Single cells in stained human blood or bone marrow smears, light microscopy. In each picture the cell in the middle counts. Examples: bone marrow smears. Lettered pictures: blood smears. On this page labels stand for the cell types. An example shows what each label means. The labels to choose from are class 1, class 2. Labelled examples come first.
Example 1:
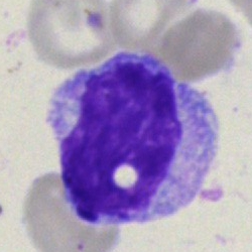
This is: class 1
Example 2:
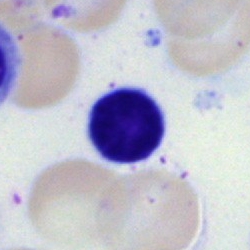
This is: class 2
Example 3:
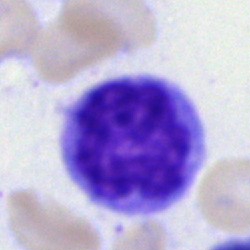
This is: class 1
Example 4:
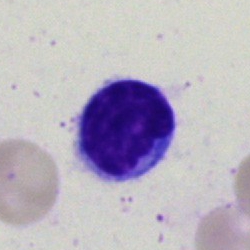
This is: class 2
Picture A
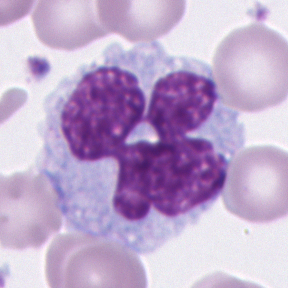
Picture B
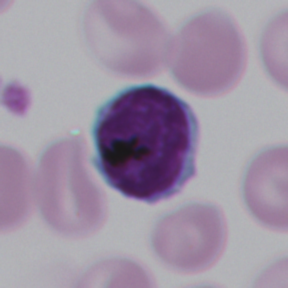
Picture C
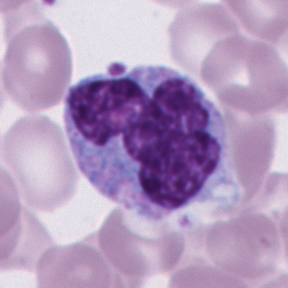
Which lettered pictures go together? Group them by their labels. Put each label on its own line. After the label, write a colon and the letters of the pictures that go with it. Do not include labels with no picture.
class 1: A, C
class 2: B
